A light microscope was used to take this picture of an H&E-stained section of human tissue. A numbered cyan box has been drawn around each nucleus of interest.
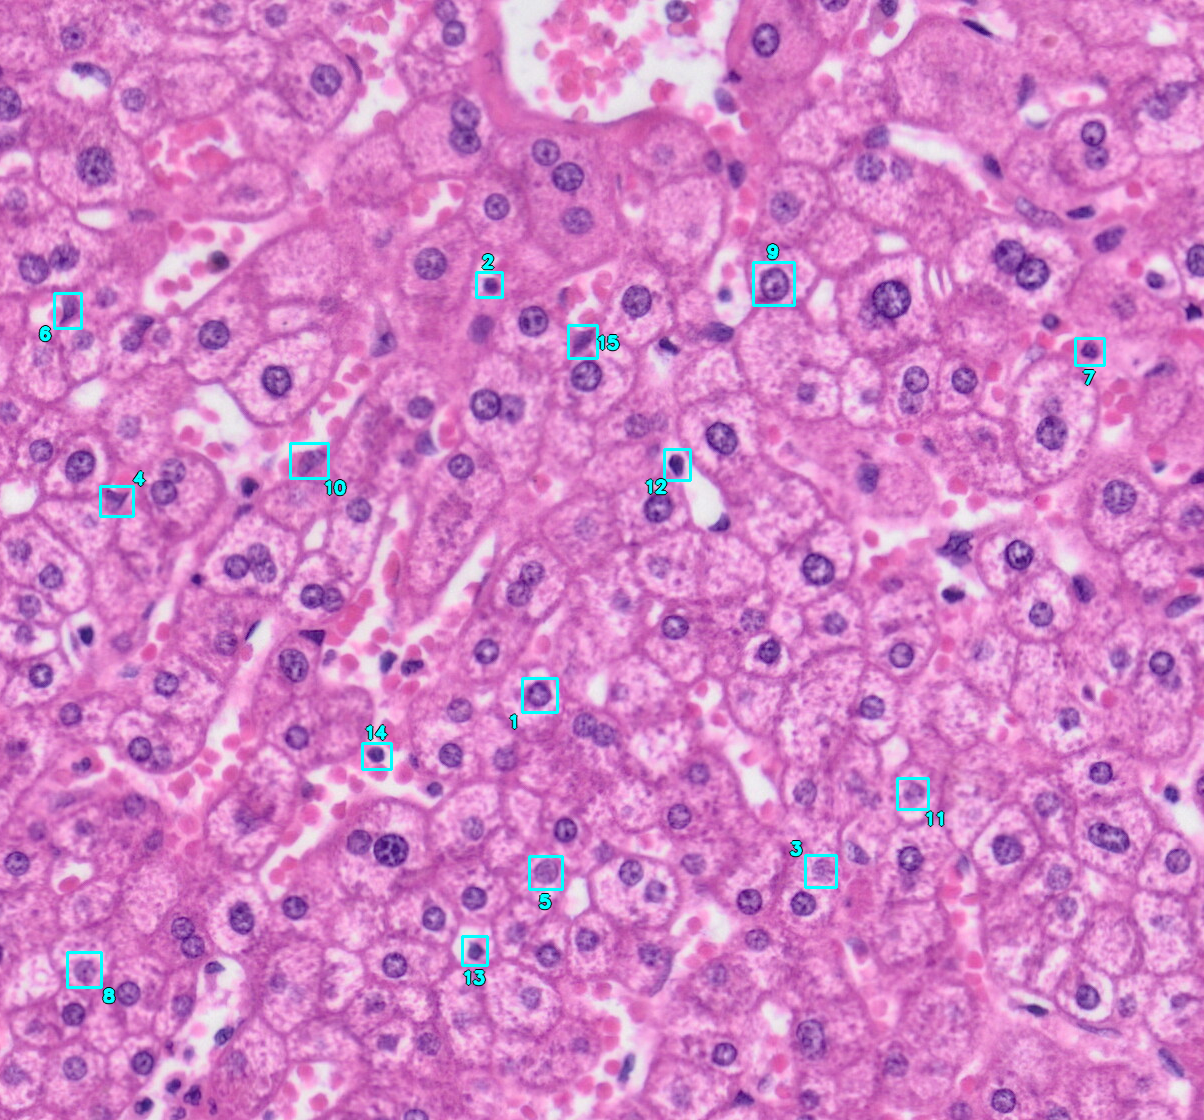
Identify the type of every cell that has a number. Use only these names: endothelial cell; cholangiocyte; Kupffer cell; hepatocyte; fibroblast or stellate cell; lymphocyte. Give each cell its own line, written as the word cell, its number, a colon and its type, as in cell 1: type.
cell 1: hepatocyte
cell 2: lymphocyte
cell 3: hepatocyte
cell 4: endothelial cell
cell 5: hepatocyte
cell 6: endothelial cell
cell 7: lymphocyte
cell 8: hepatocyte
cell 9: hepatocyte
cell 10: Kupffer cell
cell 11: hepatocyte
cell 12: lymphocyte
cell 13: lymphocyte
cell 14: lymphocyte
cell 15: fibroblast or stellate cell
